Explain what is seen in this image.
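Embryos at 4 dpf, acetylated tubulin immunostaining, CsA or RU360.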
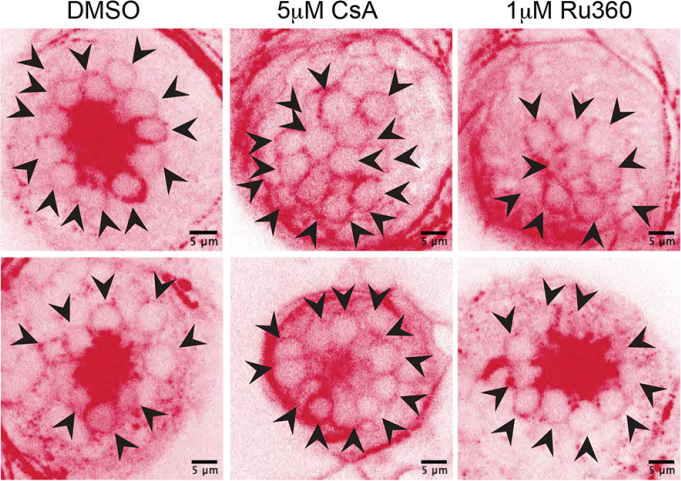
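A neuromast seen from above, with its hair cells as rounded profiles gathered into a rosette. The whole cluster is set within a roughly circular organ outline. In some images fewer rounded cells ring the centre than in others.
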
